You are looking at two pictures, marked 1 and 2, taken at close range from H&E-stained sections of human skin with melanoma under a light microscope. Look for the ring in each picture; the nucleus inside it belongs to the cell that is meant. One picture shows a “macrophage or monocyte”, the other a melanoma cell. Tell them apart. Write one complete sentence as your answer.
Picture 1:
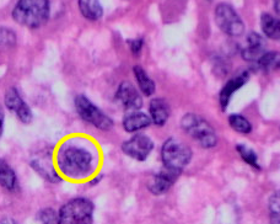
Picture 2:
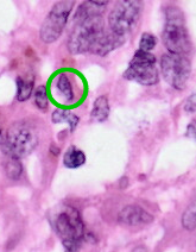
It is picture 1 that shows a melanoma cell, and picture 2 that shows a “macrophage or monocyte”.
